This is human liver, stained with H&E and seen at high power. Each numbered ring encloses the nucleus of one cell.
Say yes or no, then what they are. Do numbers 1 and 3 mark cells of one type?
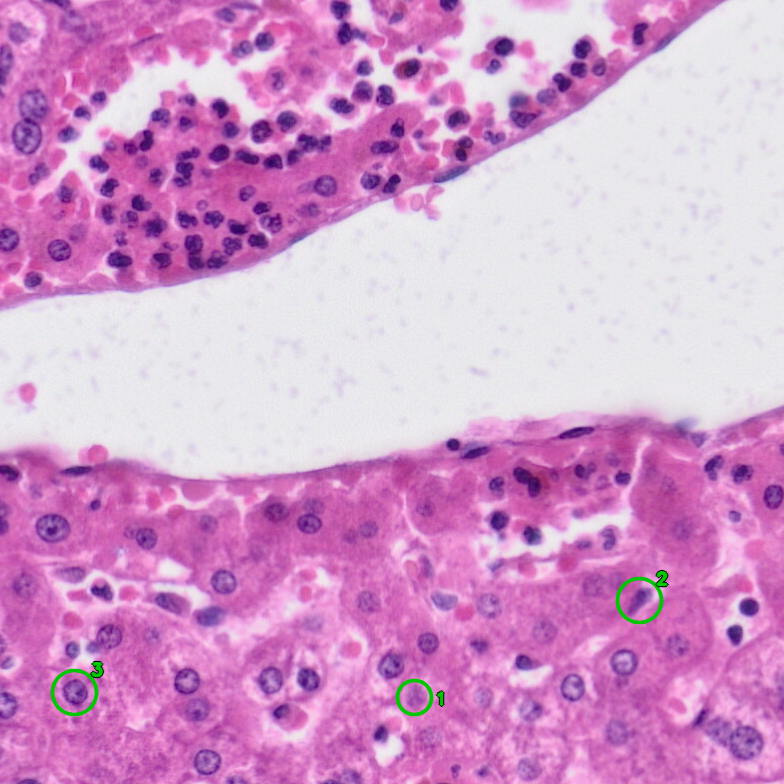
Yes, both are hepatocytes.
